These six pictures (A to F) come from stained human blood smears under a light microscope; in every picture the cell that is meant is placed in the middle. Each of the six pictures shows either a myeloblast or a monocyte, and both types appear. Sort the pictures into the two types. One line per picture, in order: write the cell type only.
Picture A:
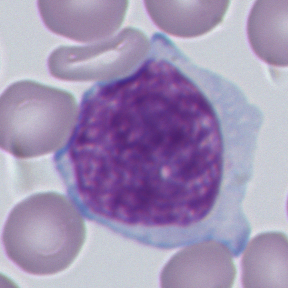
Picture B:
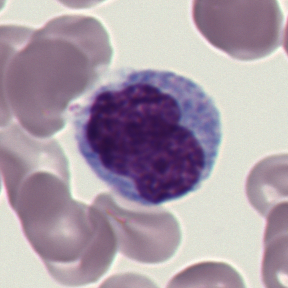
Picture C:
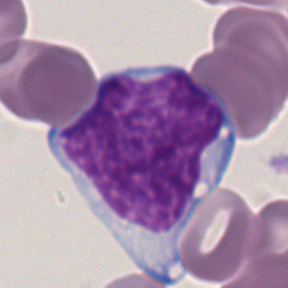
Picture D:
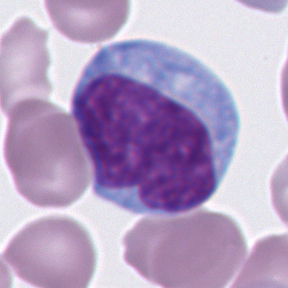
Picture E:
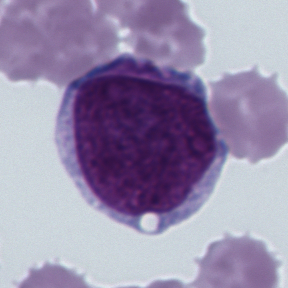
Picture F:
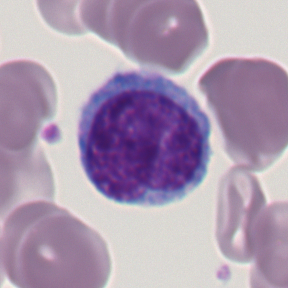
myeloblast
monocyte
myeloblast
myeloblast
myeloblast
monocyte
